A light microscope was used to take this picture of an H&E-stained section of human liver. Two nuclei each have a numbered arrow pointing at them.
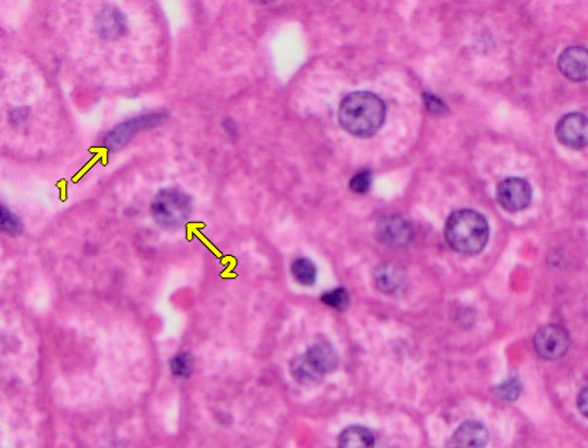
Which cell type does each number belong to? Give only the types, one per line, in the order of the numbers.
Kupffer cell
hepatocyte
